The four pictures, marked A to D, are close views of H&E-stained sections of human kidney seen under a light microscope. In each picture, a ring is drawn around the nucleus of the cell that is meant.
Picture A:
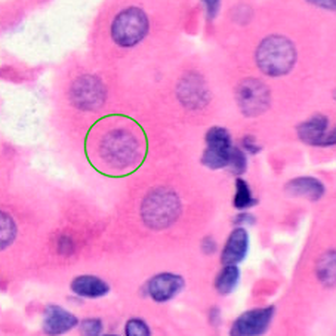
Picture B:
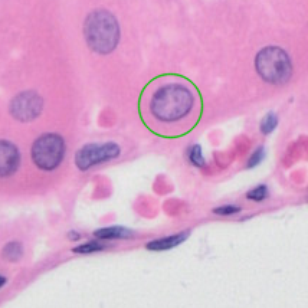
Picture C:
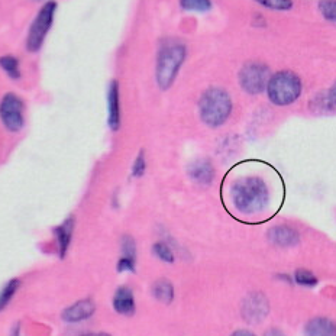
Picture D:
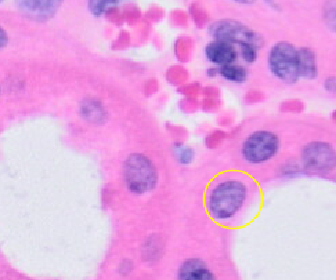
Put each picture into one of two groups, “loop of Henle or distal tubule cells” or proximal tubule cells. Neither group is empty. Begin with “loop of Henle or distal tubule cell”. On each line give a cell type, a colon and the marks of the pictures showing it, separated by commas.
loop of Henle or distal tubule cell: C, D
proximal tubule cell: A, B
